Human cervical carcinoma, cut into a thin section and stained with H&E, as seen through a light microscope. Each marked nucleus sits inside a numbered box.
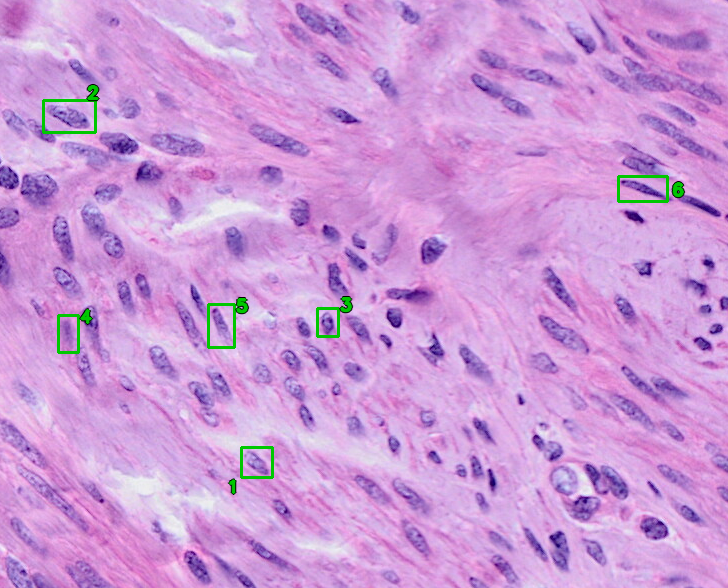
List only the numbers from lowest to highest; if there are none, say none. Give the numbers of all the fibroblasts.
2, 6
